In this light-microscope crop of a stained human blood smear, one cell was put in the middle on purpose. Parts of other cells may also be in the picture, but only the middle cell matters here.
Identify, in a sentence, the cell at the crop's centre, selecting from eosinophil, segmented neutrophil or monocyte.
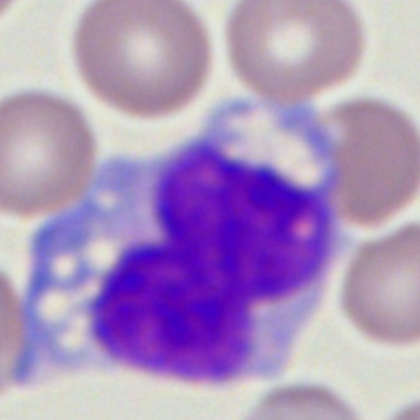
To answer, the cell in the center of the crop is a monocyte.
